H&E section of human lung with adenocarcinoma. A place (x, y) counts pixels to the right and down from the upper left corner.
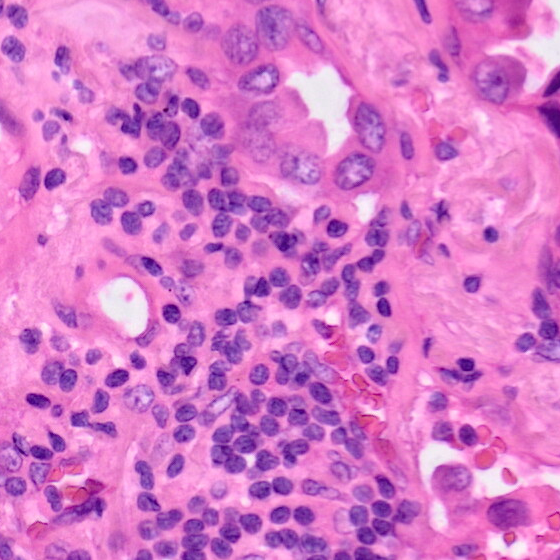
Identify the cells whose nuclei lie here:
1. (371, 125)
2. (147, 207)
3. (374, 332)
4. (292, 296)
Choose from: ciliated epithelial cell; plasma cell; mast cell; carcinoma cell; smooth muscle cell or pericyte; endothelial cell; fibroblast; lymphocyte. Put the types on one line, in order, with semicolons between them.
carcinoma cell; lymphocyte; lymphocyte; lymphocyte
